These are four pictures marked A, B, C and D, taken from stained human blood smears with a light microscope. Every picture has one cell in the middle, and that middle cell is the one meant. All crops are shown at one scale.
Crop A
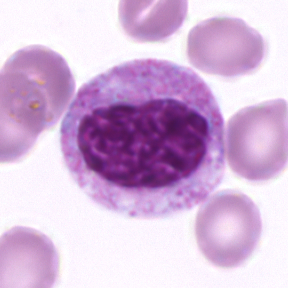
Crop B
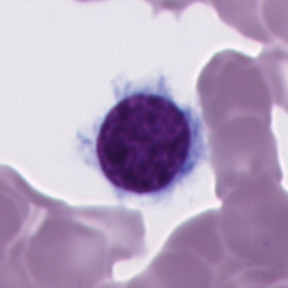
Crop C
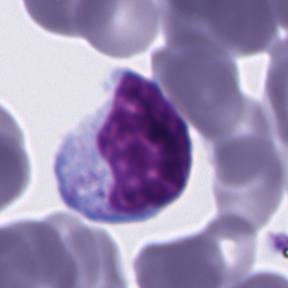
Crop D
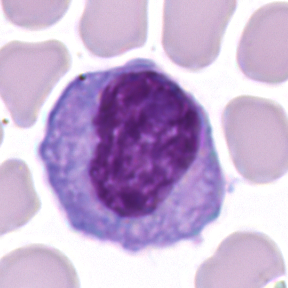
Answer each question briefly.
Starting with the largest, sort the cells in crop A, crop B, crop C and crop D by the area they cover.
D, A, C, B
